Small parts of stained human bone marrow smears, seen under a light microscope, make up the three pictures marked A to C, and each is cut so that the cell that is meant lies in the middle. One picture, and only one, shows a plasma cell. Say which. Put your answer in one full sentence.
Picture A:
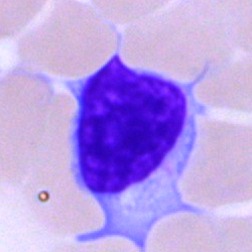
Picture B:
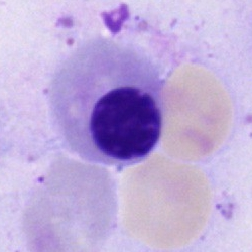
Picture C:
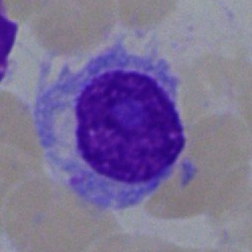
Picture C shows the plasma cell.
